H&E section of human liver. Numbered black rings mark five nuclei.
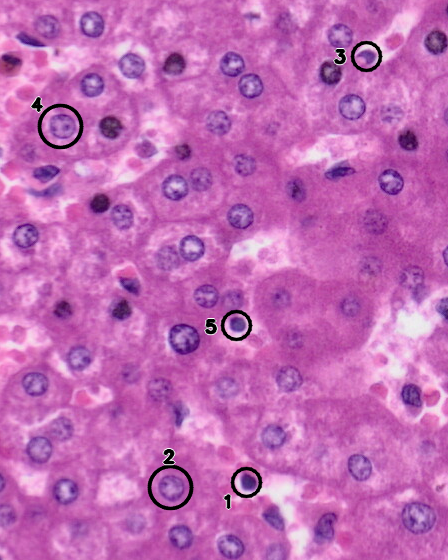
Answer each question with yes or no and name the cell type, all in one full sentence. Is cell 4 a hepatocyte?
Yes, exactly, the cell numbered 4 is a hepatocyte.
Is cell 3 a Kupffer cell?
Yes, the nucleus numbered 3 belongs to a Kupffer cell.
